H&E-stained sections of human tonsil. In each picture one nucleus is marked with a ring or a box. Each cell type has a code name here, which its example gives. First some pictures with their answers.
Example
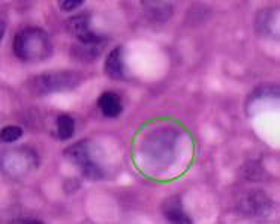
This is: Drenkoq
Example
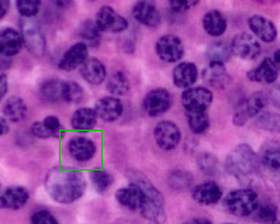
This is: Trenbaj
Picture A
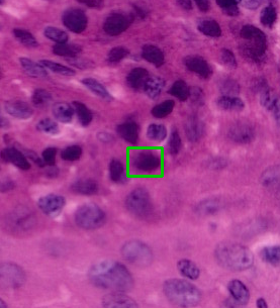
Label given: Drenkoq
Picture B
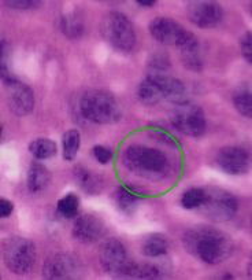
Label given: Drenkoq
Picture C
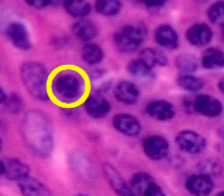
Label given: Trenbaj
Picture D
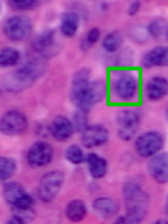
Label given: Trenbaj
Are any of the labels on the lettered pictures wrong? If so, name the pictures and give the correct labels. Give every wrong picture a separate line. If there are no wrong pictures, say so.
No label is wrong.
